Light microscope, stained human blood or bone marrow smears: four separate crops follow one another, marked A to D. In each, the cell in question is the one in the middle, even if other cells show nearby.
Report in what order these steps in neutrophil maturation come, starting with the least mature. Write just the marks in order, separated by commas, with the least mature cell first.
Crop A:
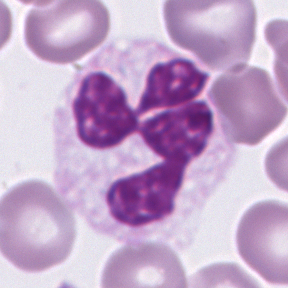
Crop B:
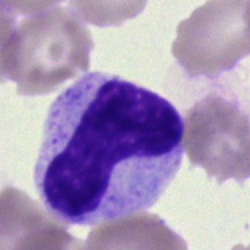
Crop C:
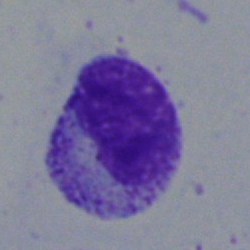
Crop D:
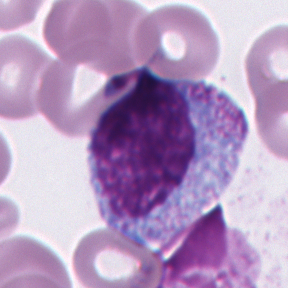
D, C, B, A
